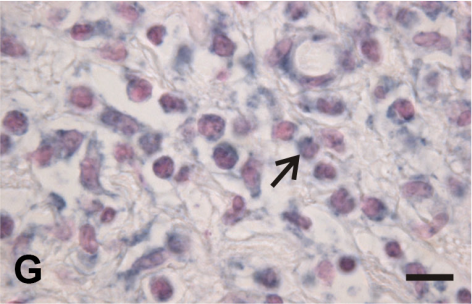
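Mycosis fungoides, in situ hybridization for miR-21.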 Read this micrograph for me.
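This is a close view of a dermal infiltrate in which large atypical lymphocytes lie loosely scattered between delicate stromal cells. Their nuclei are round to irregular and stained pink to purple, and a blue-grey deposit lies in the cytoplasm around many of them. Elongated cells between them also carry blue cytoplasmic deposits.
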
